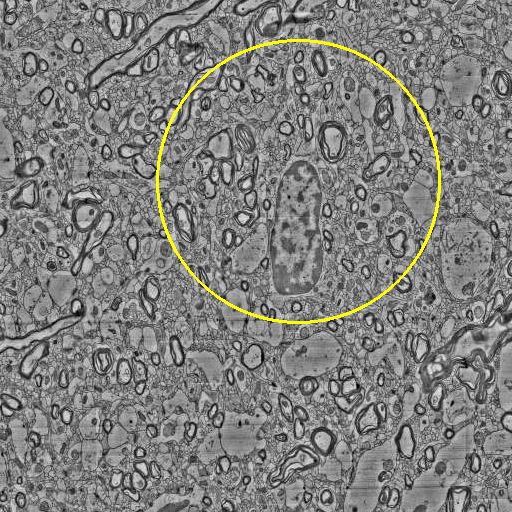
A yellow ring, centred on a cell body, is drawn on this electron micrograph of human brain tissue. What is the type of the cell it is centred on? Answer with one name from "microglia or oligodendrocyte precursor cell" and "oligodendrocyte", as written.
microglia or oligodendrocyte precursor cell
